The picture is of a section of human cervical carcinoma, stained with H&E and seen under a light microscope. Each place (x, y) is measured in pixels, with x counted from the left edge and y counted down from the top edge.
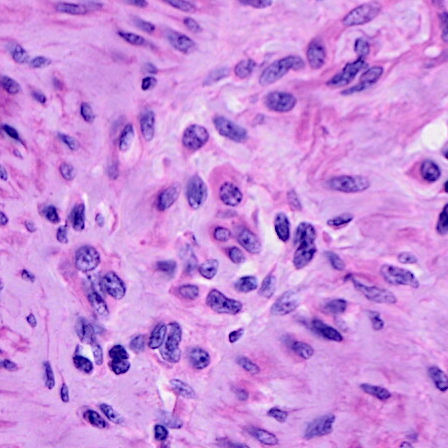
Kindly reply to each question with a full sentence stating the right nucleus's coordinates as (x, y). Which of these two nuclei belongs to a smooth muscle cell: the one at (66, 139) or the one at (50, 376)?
The nucleus at (66, 139) is identified as belonging to a smooth muscle cell.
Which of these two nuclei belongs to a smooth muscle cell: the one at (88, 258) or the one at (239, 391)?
The member of the pair belonging to a smooth muscle cell is the nucleus at (239, 391).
